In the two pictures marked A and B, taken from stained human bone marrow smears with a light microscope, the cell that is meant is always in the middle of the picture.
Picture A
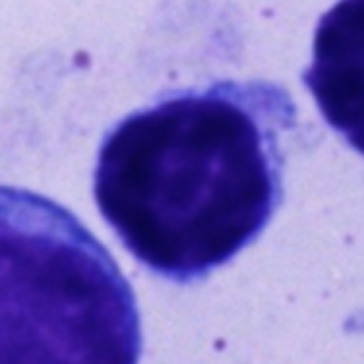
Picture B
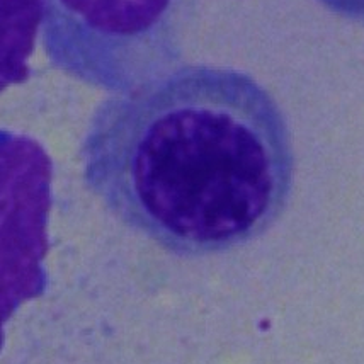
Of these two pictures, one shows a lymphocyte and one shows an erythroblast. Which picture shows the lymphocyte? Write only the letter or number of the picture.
A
